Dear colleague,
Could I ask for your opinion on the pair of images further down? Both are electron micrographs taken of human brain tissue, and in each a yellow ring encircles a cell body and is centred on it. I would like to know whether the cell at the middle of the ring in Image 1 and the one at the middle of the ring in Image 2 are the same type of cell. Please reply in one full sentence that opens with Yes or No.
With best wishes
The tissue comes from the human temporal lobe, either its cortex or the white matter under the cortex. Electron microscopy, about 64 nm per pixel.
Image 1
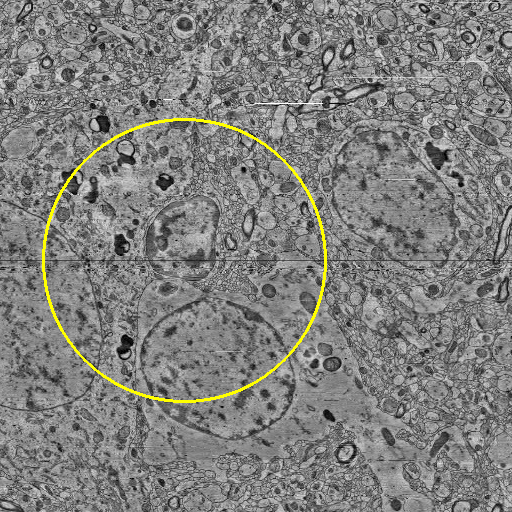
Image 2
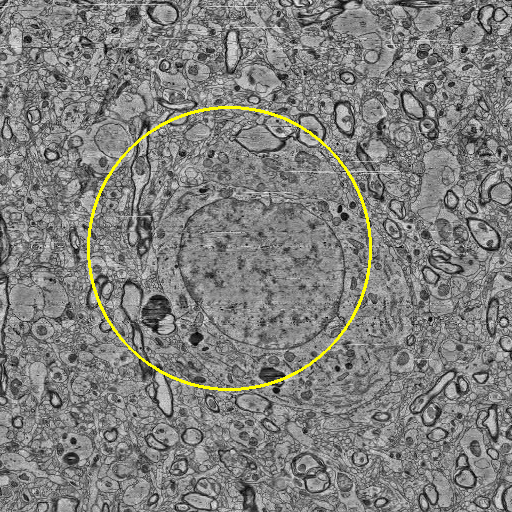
No, the cells at the ring centres in Image 1 and Image 2 are of two types.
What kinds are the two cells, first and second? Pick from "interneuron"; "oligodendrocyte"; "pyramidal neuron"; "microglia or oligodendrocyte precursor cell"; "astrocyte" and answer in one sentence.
The second picture holds an interneuron in its ring, and the first holds a microglial cell or oligodendrocyte precursor cell.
